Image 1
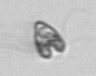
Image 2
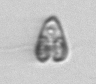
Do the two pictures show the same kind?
Yes, both are Pyramimonas.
